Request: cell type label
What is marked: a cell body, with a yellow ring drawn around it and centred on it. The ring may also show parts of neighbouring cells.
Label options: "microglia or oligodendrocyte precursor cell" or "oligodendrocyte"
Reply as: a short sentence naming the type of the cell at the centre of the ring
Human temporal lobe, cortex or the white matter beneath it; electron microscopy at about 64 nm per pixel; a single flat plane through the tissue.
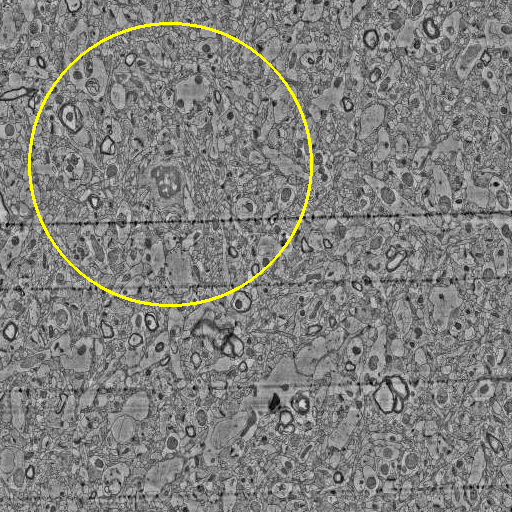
The marked cell body is that of an oligodendrocyte.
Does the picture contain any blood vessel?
No, no vessel shows anywhere in the image.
